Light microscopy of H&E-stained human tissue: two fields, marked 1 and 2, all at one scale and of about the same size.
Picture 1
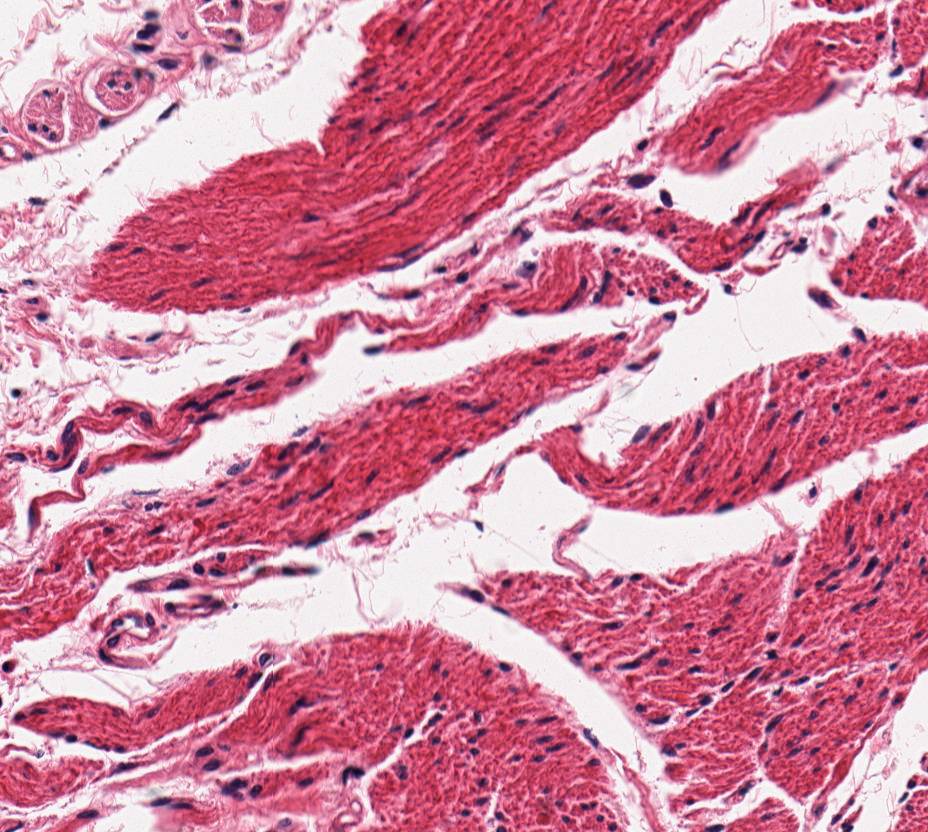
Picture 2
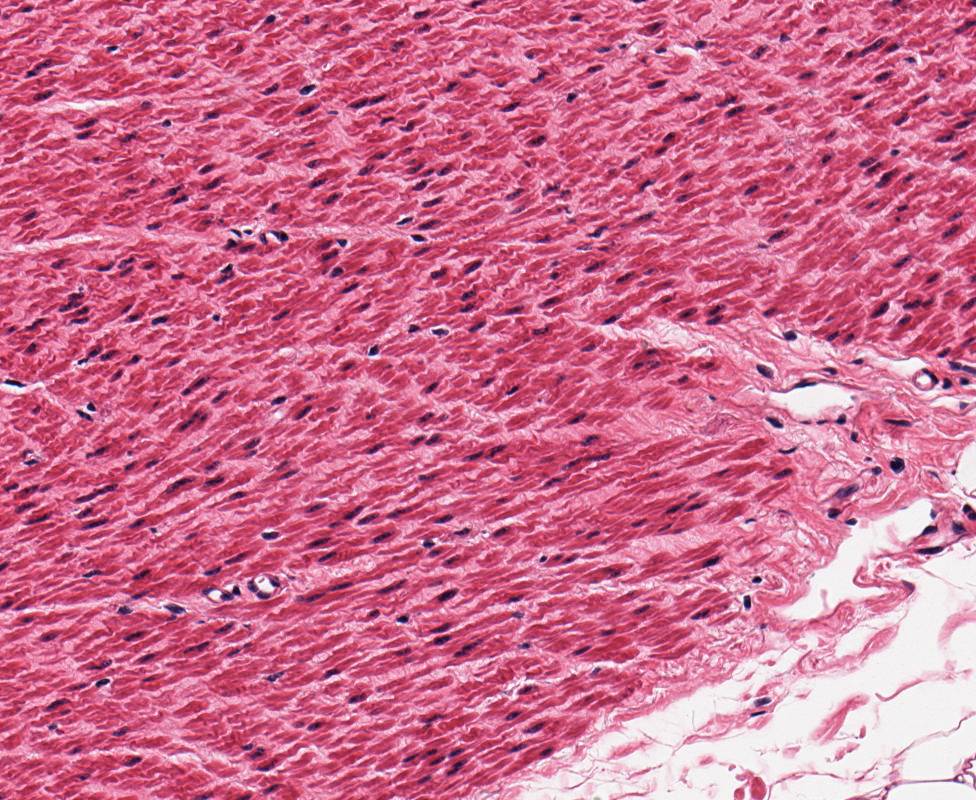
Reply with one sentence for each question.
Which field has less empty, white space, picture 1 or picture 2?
Less of picture 2 is empty and white.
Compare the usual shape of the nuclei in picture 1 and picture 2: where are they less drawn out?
It is picture 1 whose nuclei are the rounder.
